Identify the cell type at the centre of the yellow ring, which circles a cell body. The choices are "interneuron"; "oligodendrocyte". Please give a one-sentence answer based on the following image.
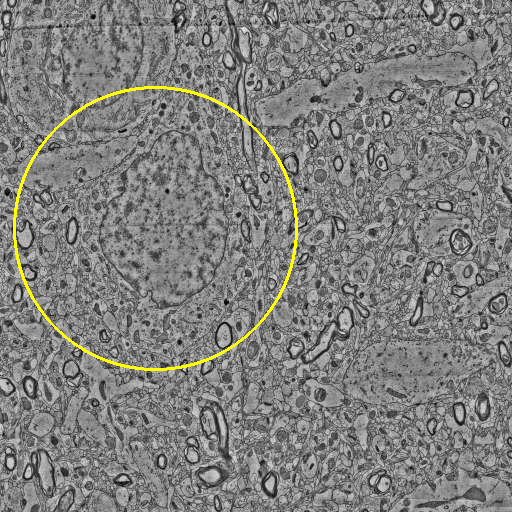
The cell marked by the ring is an interneuron.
